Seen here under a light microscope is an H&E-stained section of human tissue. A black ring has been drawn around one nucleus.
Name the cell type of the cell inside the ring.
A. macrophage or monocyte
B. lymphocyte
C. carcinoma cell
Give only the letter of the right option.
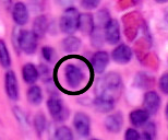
B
